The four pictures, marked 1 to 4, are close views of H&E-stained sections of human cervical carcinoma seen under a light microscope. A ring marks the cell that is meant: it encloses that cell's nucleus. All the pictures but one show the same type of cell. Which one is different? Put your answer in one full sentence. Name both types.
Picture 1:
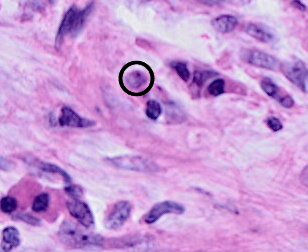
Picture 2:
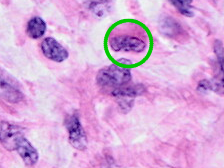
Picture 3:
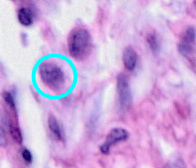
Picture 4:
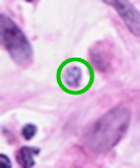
All pictures except 4 show “macrophages or monocytes”; picture 4 shows a lymphocyte.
